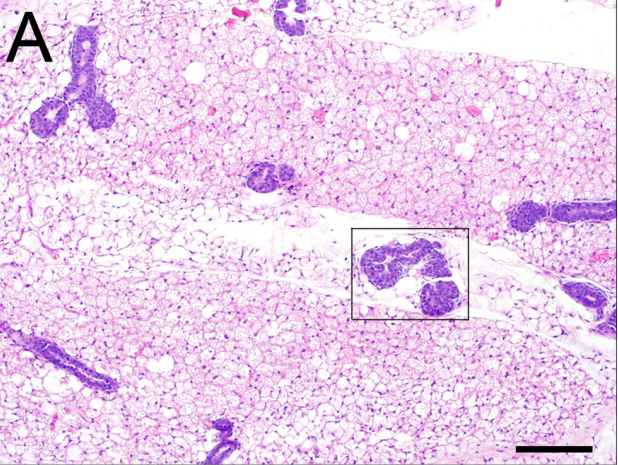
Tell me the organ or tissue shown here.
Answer: Mammary glands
